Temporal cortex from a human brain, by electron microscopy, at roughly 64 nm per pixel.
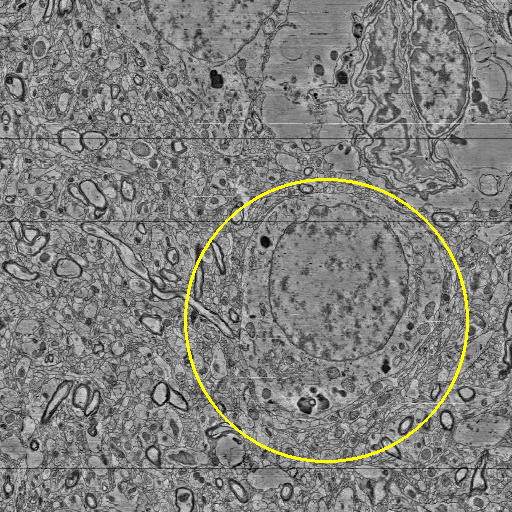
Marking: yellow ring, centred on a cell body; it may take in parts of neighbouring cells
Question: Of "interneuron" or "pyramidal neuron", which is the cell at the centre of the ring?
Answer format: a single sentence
The ring surrounds the body of a pyramidal neuron.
